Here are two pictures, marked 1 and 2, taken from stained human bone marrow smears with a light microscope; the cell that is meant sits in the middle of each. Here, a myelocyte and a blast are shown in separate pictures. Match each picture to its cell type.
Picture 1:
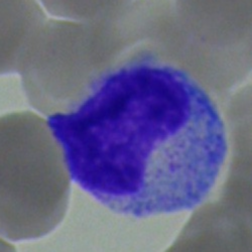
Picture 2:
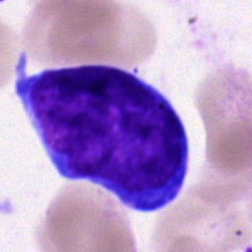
1: myelocyte
2: blast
